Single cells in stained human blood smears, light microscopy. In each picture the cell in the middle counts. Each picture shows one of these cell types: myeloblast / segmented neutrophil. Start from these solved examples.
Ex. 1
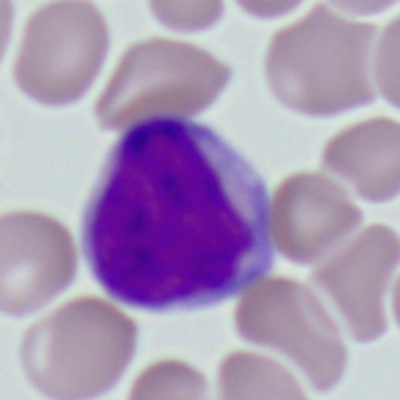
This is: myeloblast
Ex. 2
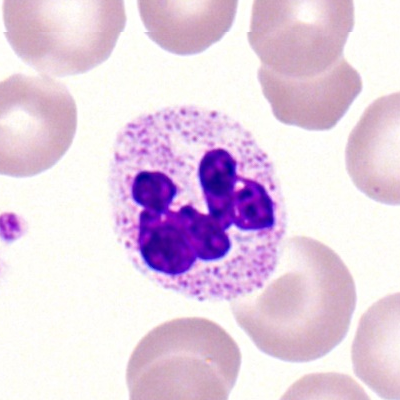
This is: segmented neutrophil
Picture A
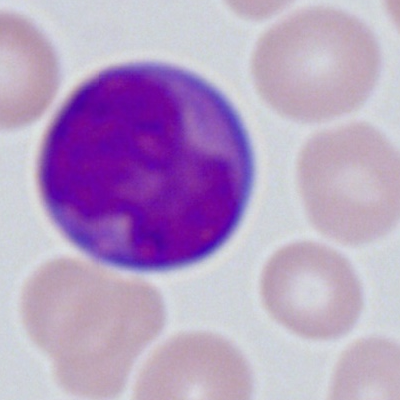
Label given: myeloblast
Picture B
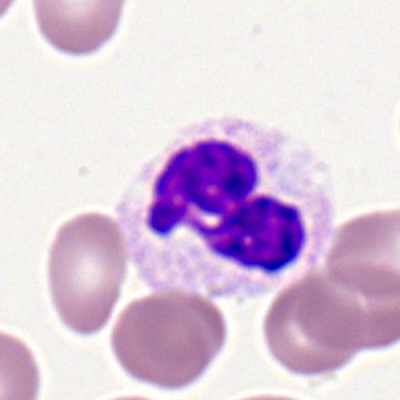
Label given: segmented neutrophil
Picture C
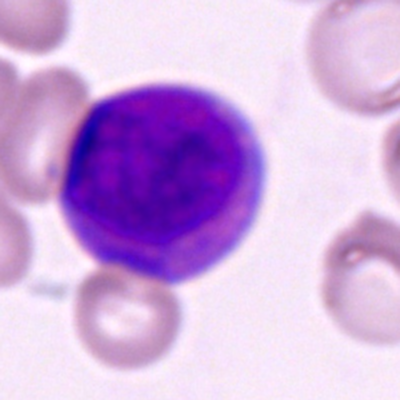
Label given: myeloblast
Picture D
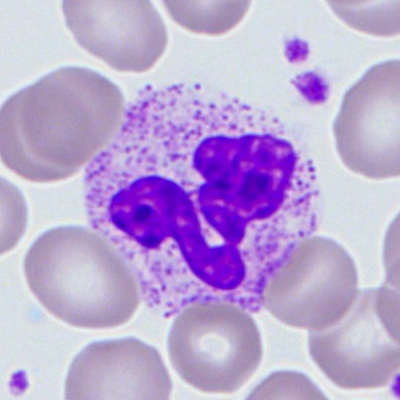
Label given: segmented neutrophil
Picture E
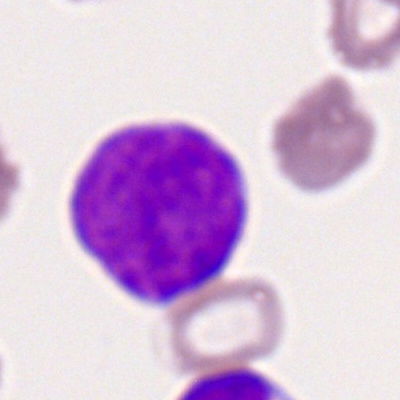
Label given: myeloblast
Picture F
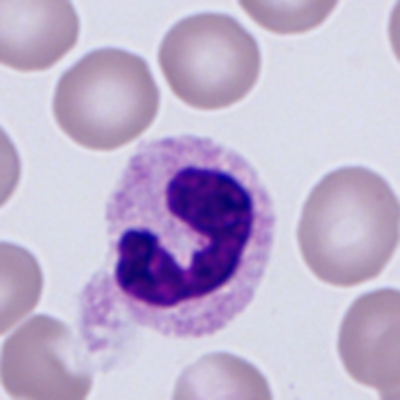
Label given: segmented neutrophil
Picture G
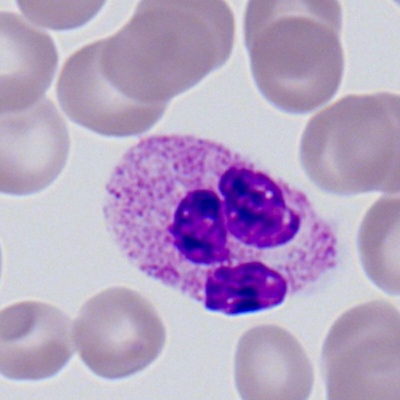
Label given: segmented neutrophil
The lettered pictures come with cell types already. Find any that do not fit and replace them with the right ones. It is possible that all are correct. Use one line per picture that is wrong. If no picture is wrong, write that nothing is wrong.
All correct.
